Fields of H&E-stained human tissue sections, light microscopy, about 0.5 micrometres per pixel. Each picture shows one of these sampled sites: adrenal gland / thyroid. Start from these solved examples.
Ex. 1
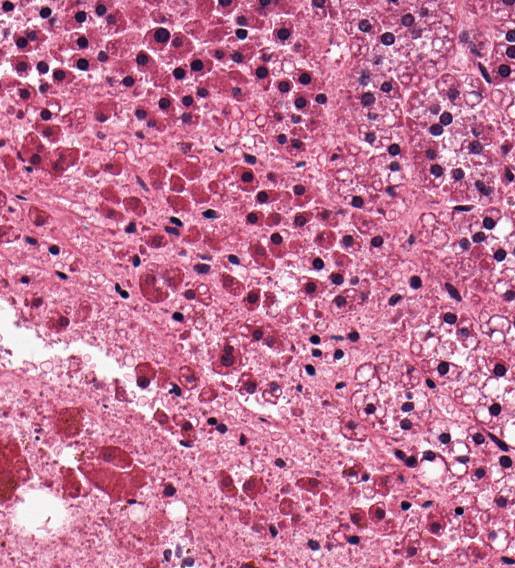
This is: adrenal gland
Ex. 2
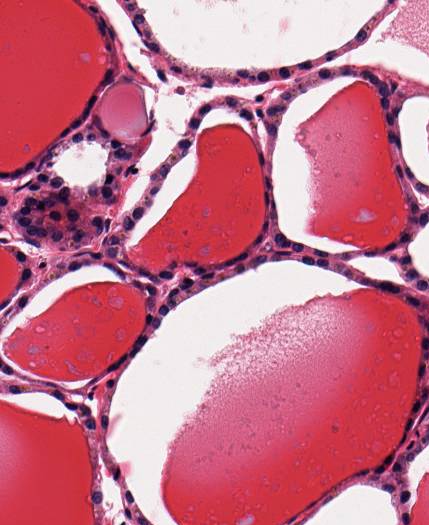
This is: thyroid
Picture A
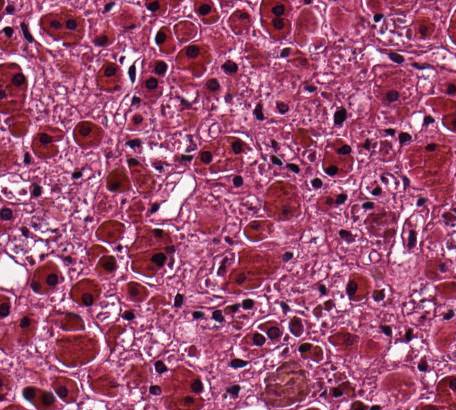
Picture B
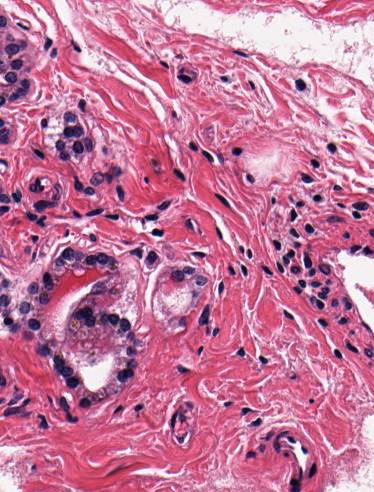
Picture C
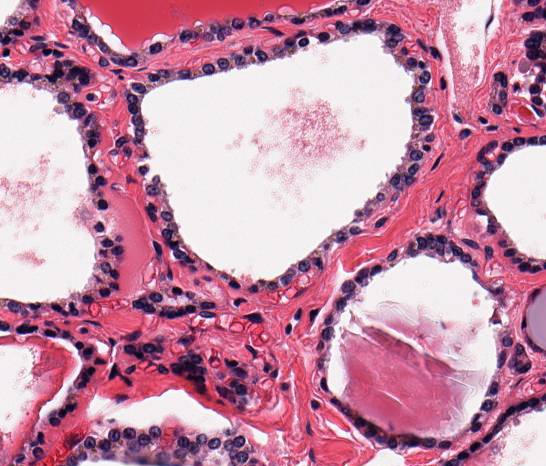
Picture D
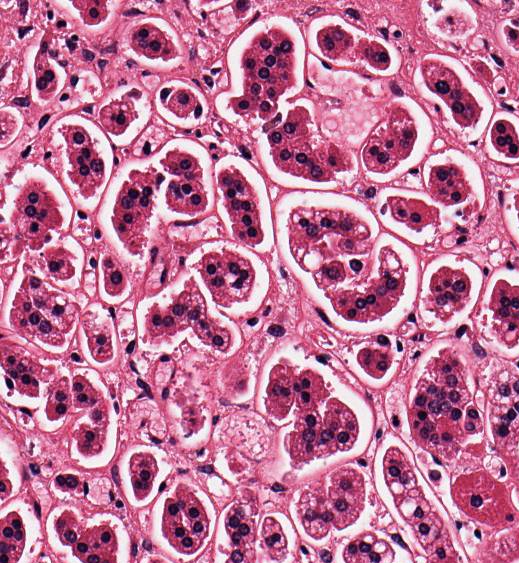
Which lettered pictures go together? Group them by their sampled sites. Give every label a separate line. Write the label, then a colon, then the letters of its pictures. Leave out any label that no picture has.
adrenal gland: A, D
thyroid: B, C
